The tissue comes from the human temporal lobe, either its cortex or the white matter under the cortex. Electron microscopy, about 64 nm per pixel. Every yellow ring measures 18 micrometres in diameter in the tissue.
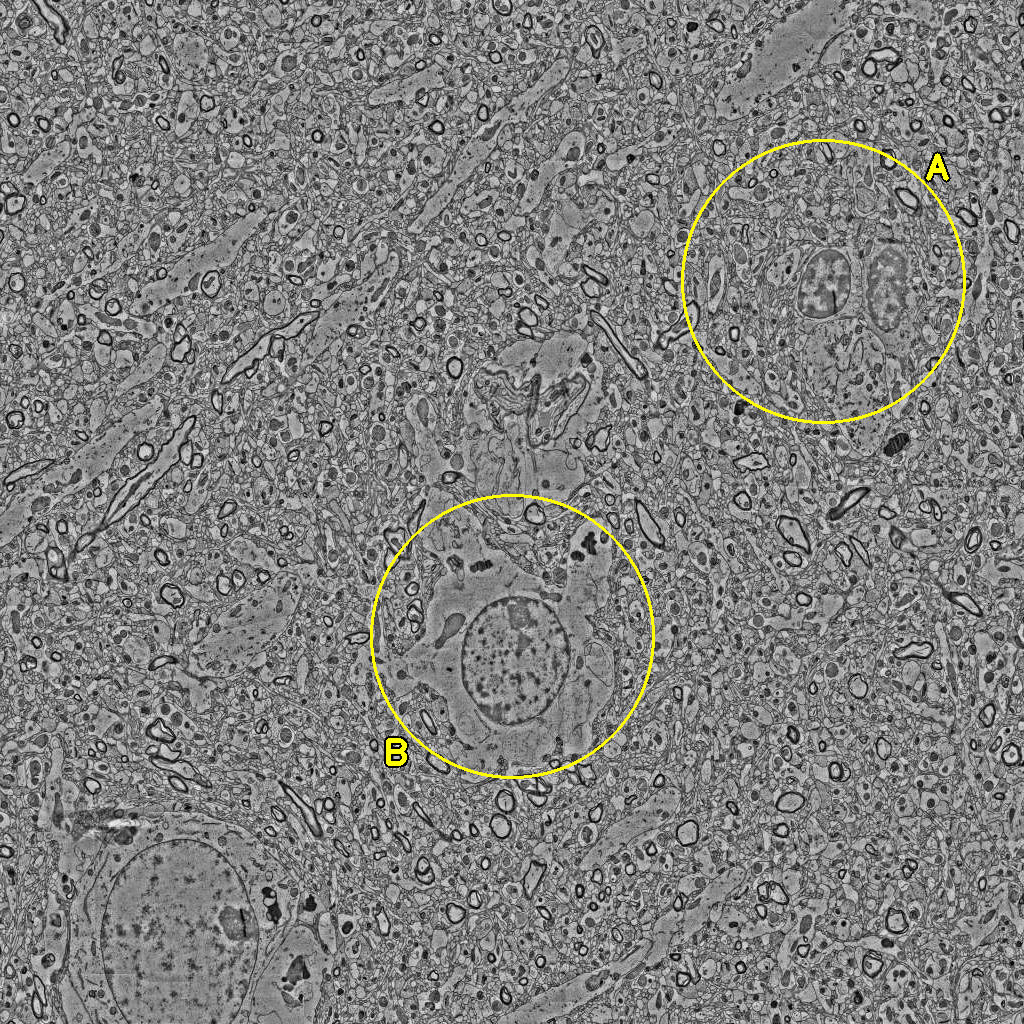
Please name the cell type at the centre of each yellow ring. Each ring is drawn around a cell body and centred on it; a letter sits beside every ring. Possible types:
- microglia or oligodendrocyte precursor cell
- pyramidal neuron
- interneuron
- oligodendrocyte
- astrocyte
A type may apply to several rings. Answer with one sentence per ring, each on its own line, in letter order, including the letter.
Ring A is centred on the cell body of a microglial cell or oligodendrocyte precursor cell.
Ring B is centred on the cell body of an astrocyte.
